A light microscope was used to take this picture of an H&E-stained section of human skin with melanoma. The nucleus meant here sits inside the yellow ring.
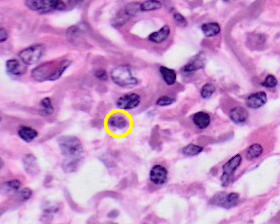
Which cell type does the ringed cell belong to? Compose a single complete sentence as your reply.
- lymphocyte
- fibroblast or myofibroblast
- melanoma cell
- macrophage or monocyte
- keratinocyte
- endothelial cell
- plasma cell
In terms of identity, the ringed cell is a plasma cell.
